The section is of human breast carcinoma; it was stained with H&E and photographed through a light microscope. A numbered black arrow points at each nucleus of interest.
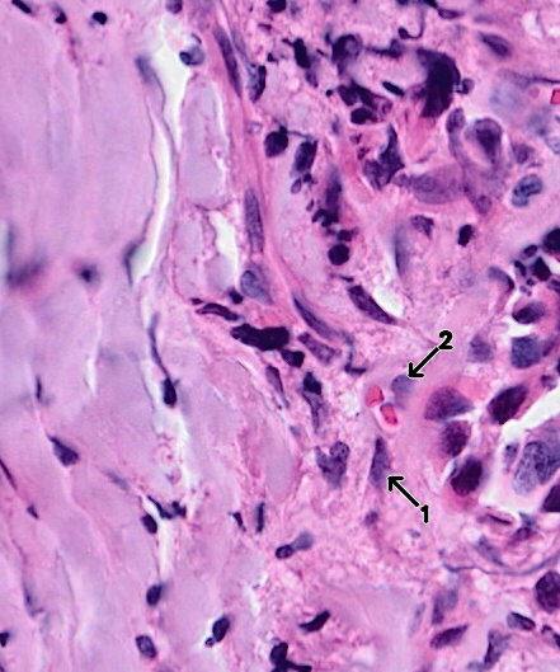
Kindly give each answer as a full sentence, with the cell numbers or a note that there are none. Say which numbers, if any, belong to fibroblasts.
Being a fibroblast is true of cell 1 and of no other numbered cell.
